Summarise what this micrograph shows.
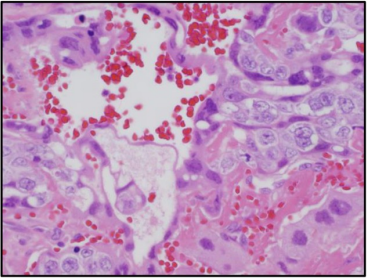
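The cells have abundant pink to purple cytoplasm and large, irregular nuclei with prominent nucleoli. Between groups of tumor cells lie open spaces and channels packed with red blood cells, giving a hemorrhagic look. Some cells are very large with dark, crowded nuclei, and they sit next to the blood-filled spaces.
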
